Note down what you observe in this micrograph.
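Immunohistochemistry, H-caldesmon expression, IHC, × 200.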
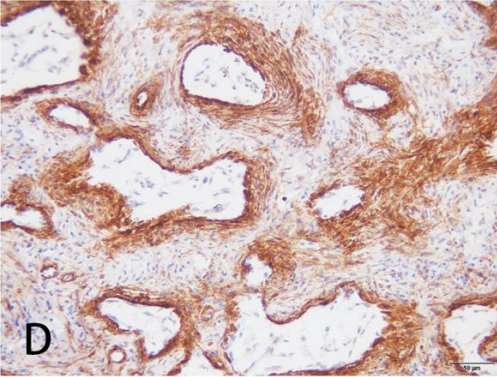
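This section shows a vascular-rich tumour in which spindle tumour cells are stained brown and wrapped around open vascular spaces. The brown cells form thick, concentric cuffs that hug the vessel walls, and some cuffs merge into broad brown bundles between the vessels. The cells within the cuffs are elongated and arranged in parallel, swirling around the lumens. Between the cuffs lies looser tissue of paler cells with small blue nuclei and only faint brown staining. The vascular spaces vary from small round channels to wide irregular ones, some containing loose pale material.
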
